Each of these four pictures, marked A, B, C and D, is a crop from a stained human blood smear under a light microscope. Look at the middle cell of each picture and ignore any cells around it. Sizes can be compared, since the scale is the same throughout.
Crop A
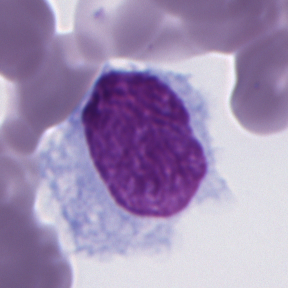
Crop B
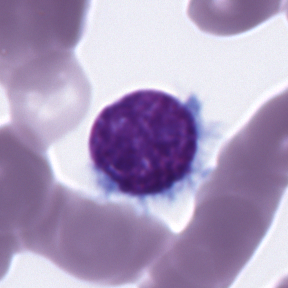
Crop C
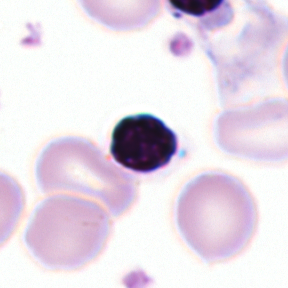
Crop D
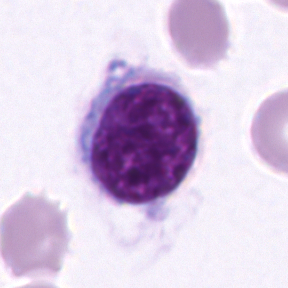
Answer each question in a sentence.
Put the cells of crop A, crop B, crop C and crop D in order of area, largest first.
Going down, they run A, D, B, C.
